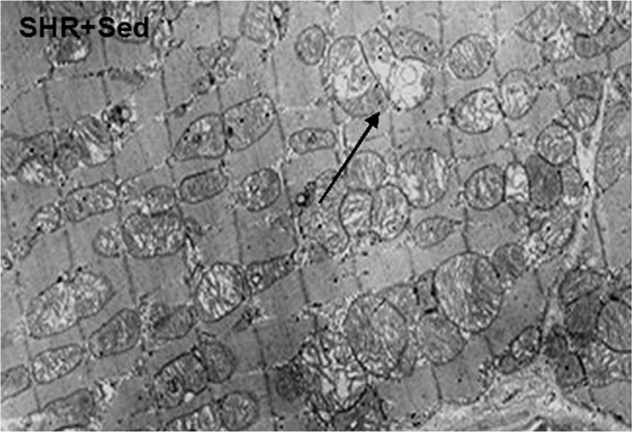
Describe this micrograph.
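This electron micrograph of heart muscle shows myocardial mitochondria lying in rows between myofibrils. The myofibrils are crossed by regular Z-lines, giving a grid-like pattern of sarcomeres. The mitochondria are rounded and varied in size, and many are separated by gaps rather than tightly packed. Several have pale, washed-out areas in the matrix where the cristae appear sparse or broken up, an appearance of damage. Others keep a denser matrix with visible cristae.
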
